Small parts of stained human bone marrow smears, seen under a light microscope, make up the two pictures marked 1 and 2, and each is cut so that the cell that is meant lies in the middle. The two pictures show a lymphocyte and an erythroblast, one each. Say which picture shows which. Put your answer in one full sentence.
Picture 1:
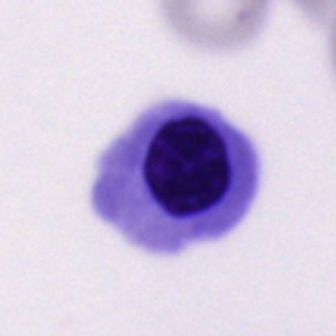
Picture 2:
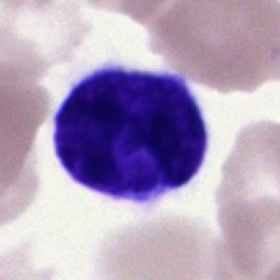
Picture 1 shows an erythroblast and picture 2 shows a lymphocyte.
